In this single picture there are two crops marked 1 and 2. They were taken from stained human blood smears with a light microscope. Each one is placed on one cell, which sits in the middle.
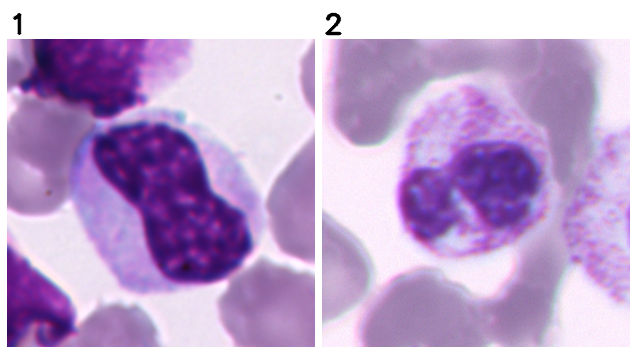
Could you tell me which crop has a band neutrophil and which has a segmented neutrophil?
1: band neutrophil
2: segmented neutrophil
